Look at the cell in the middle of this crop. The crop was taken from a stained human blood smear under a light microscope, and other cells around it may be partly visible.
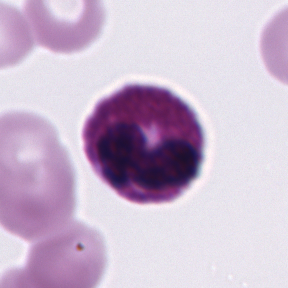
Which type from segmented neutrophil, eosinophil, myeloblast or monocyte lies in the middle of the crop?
eosinophil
